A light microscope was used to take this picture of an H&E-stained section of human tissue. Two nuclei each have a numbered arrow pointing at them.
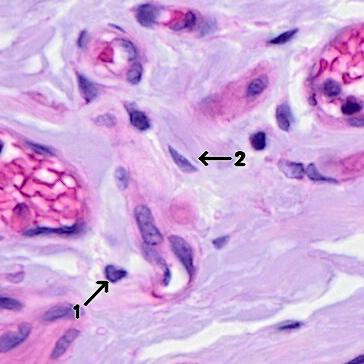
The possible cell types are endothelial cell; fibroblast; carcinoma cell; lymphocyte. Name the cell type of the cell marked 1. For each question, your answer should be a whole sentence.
Marked with the number 1, this cell is a lymphocyte.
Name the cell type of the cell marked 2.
Number 2 is placed on a fibroblast here.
